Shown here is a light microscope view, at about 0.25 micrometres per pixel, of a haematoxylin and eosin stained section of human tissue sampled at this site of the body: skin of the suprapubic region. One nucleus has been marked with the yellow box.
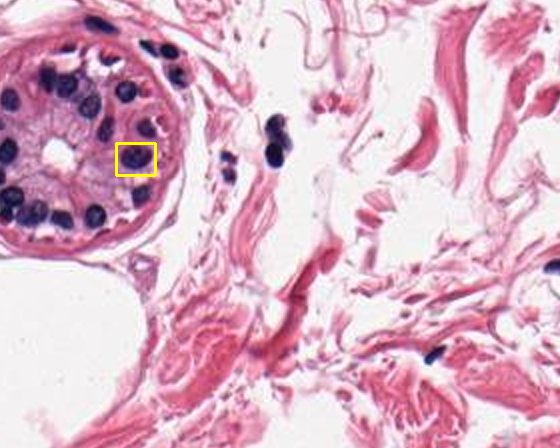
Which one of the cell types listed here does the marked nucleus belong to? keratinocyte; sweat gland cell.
sweat gland cell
